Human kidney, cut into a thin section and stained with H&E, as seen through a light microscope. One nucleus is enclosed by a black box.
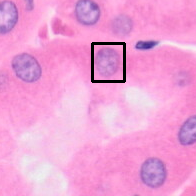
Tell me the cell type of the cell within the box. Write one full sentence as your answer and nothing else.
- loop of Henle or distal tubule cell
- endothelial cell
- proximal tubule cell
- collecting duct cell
Among the cells in this section, the cell within the box is a proximal tubule cell.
